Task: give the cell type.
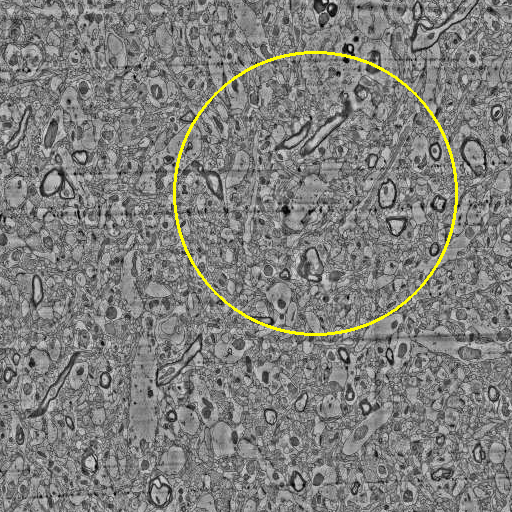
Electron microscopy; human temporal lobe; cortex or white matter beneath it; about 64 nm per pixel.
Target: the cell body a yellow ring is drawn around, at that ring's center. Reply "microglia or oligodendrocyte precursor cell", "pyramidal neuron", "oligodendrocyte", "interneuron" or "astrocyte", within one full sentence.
In this picture, the cell whose body lies at the ring's center is a microglial cell or oligodendrocyte precursor cell.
